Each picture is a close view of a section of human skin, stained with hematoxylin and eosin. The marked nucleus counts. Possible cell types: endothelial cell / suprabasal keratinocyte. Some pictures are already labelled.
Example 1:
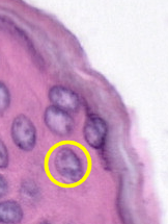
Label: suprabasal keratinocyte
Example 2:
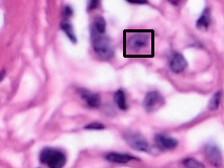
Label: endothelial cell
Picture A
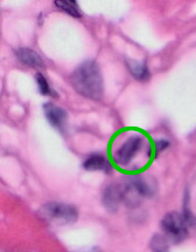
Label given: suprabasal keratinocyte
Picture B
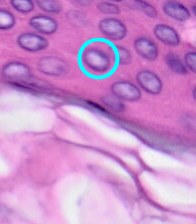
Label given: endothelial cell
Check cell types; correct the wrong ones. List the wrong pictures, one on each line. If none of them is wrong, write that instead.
Wrong: A (suprabasal keratinocyte); correct: endothelial cell
Wrong: B (endothelial cell); correct: suprabasal keratinocyte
